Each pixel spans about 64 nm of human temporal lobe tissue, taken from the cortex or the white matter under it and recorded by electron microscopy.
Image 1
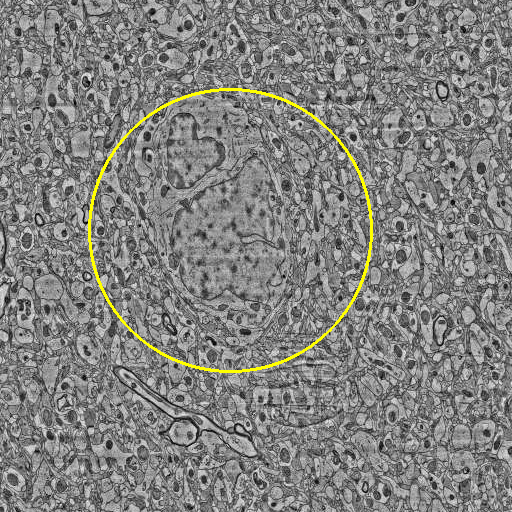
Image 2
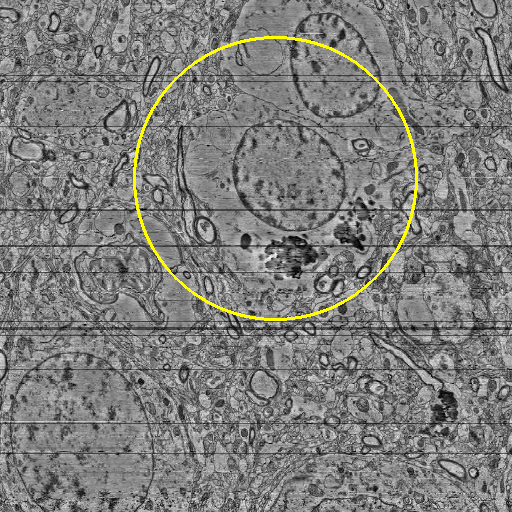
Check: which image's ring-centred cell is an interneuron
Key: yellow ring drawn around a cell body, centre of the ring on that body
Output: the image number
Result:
1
